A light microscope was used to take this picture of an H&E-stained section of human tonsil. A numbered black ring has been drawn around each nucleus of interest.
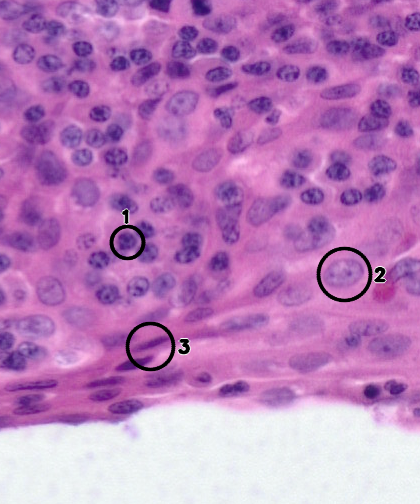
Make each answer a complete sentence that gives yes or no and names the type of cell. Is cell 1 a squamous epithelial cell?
No, cell 1 is not to be taken for a squamous epithelial cell; it is a plasma cell.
